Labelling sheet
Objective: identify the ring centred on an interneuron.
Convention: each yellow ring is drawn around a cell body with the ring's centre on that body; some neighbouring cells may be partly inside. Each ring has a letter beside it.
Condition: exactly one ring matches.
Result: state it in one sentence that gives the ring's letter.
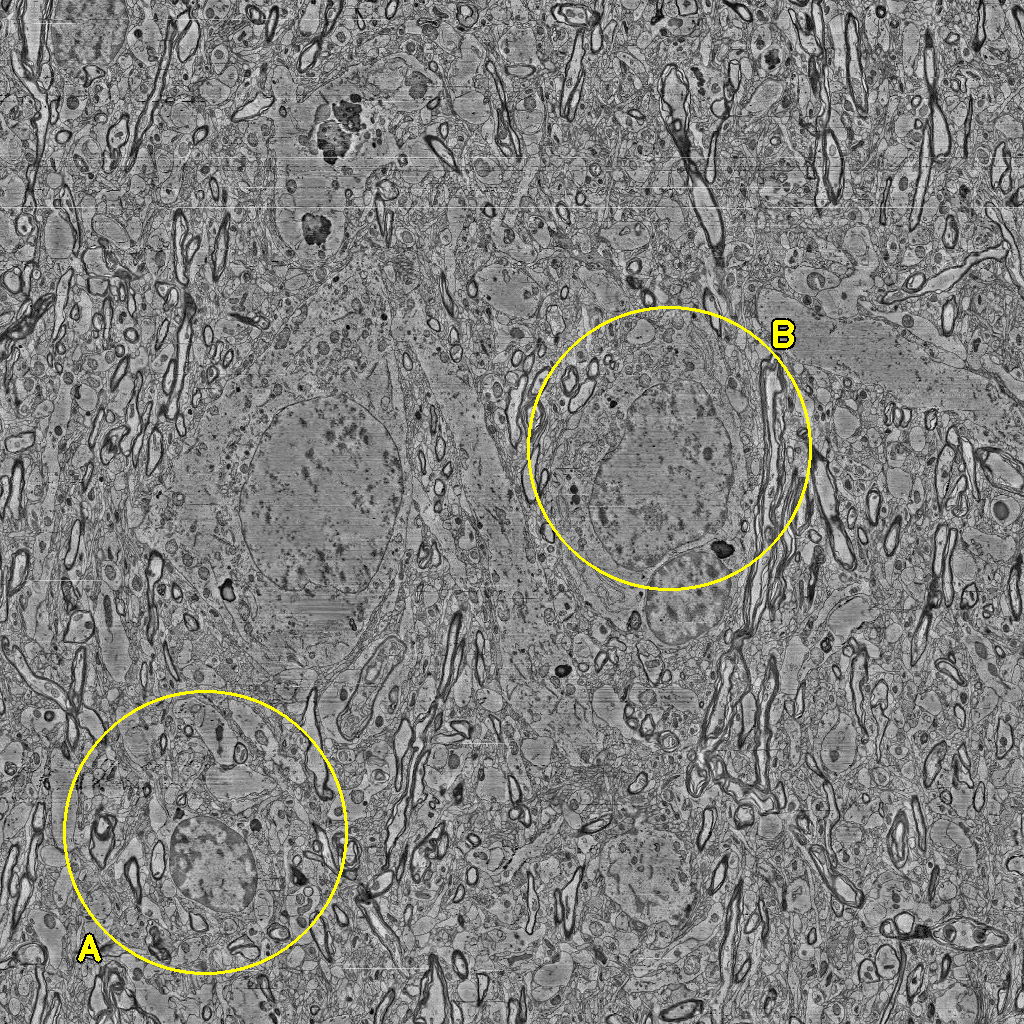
It lies at the centre of ring B.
